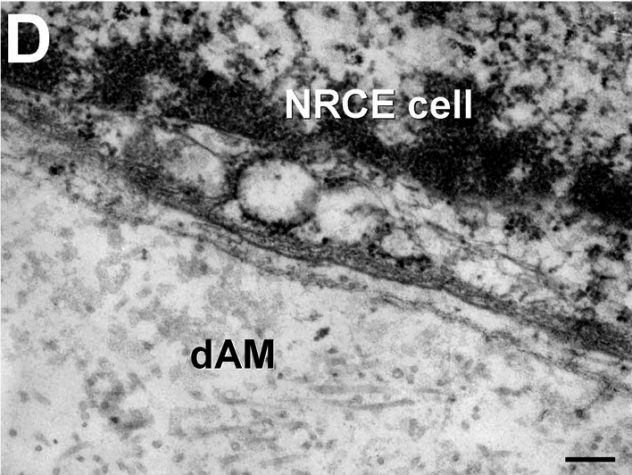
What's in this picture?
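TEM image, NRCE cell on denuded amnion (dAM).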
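A thin, flattened cell lies diagonally across the field above a pale, loose matrix of flocculent and fibrillar material. The upper part is dark with clumped nuclear chromatin. Between nucleus and matrix runs a narrow band of cytoplasm containing a few rounded, pale vacuoles.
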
